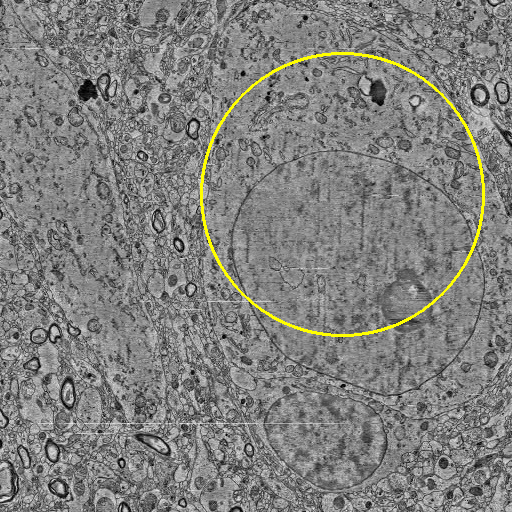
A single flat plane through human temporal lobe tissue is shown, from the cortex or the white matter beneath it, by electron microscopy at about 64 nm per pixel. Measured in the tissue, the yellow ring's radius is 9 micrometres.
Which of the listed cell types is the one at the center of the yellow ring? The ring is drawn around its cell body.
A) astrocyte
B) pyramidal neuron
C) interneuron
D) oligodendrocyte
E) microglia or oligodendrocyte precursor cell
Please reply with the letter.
B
